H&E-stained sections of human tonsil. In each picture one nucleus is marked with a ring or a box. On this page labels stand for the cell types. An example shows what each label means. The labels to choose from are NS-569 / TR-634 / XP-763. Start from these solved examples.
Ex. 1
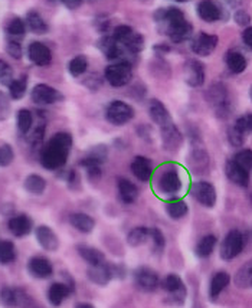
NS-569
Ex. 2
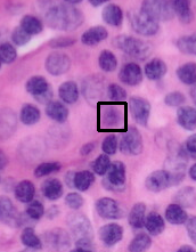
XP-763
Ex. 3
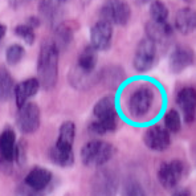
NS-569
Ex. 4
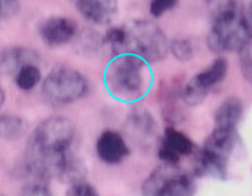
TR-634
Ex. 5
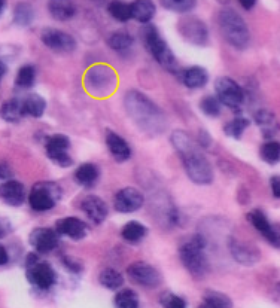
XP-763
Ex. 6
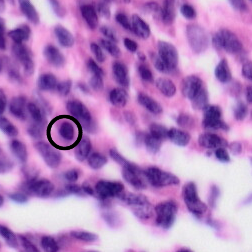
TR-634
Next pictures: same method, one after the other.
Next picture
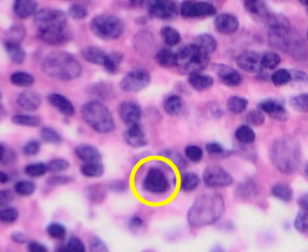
TR-634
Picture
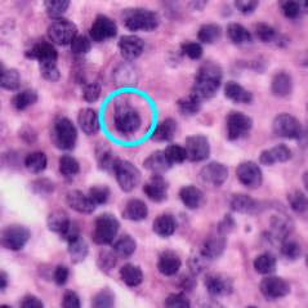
TR-634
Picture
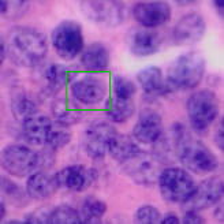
TR-634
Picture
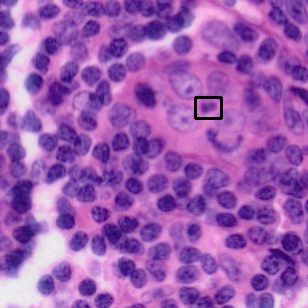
XP-763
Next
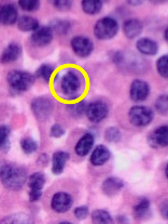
NS-569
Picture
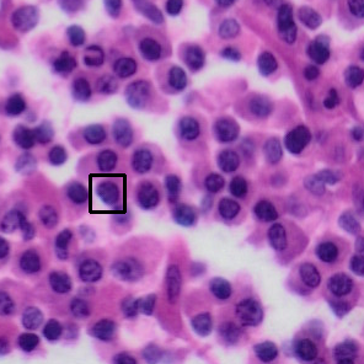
NS-569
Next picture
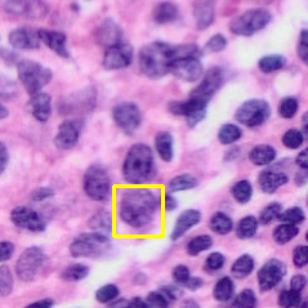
TR-634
